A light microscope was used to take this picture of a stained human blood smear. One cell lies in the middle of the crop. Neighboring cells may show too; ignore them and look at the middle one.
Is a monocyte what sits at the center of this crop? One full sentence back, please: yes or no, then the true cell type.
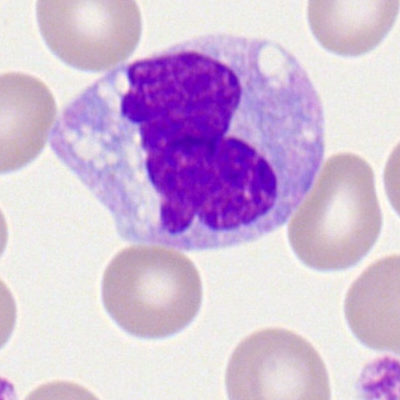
Yes, in this crop the cell in the middle is a monocyte.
